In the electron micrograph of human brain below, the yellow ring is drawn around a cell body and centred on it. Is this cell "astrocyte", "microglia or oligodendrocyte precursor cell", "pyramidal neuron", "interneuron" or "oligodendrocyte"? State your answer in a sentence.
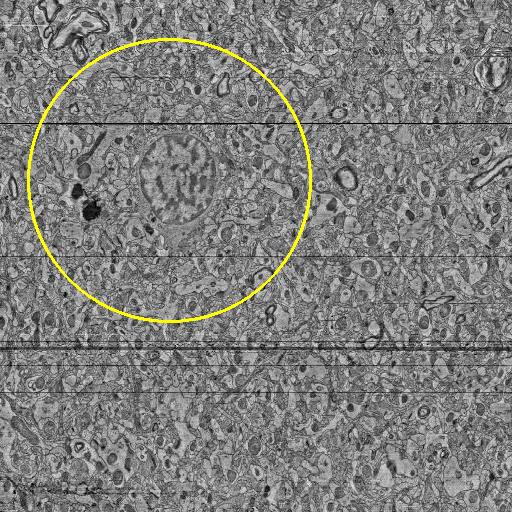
The cell in the middle of the ring is an oligodendrocyte.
